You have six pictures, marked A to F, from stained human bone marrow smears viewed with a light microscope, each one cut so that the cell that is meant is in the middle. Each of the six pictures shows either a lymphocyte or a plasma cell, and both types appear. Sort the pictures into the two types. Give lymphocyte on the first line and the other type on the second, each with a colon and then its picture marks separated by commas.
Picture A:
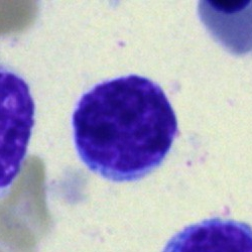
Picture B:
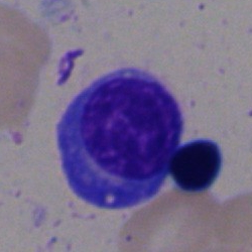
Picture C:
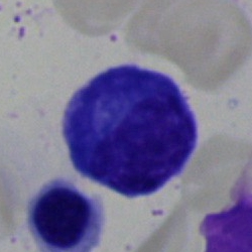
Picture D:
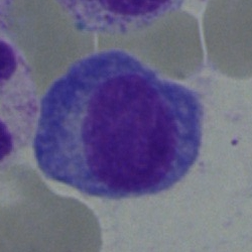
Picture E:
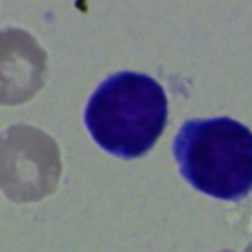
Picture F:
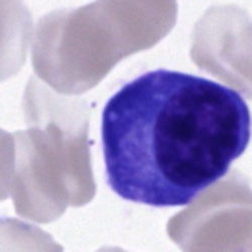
lymphocyte: A, E
plasma cell: B, C, D, F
